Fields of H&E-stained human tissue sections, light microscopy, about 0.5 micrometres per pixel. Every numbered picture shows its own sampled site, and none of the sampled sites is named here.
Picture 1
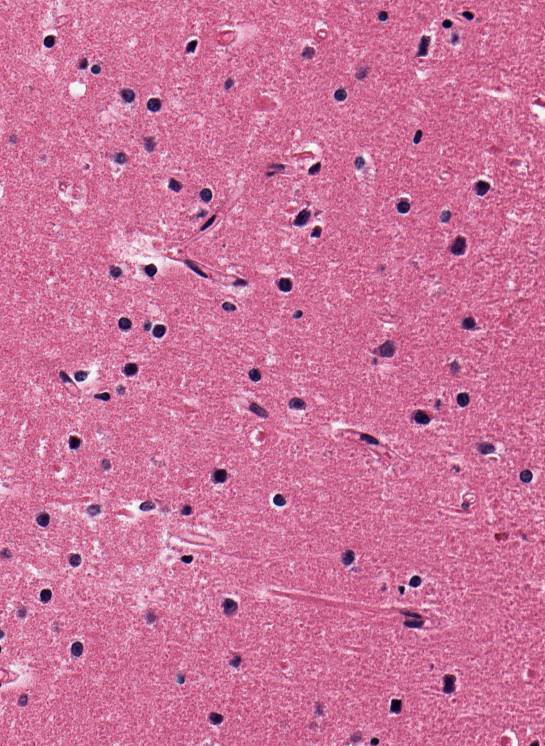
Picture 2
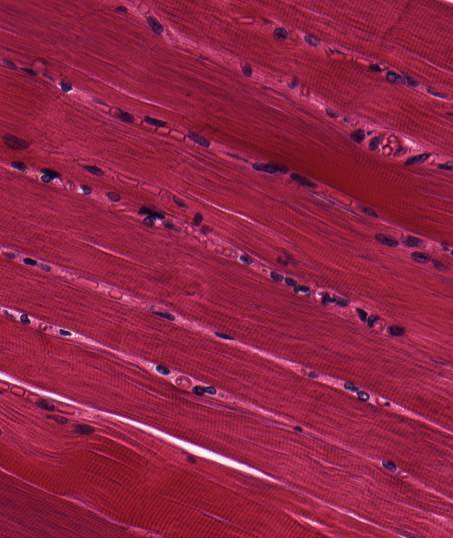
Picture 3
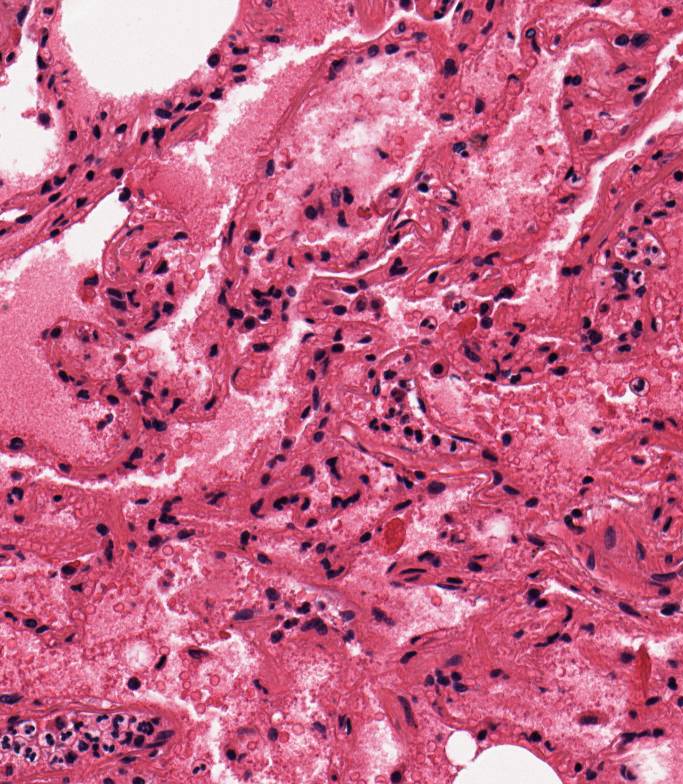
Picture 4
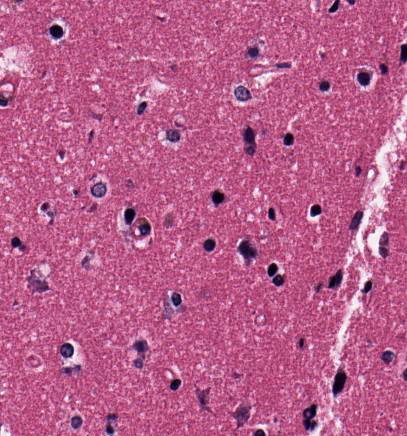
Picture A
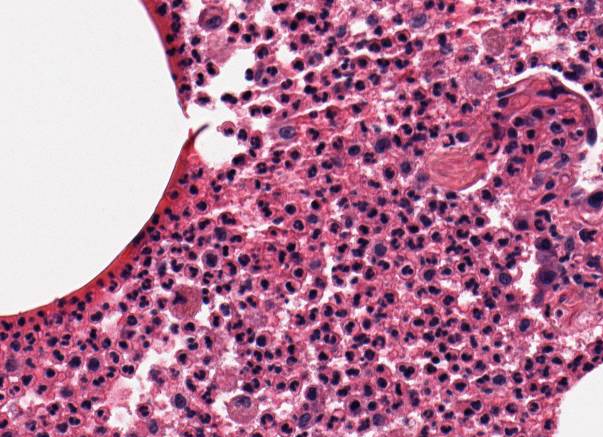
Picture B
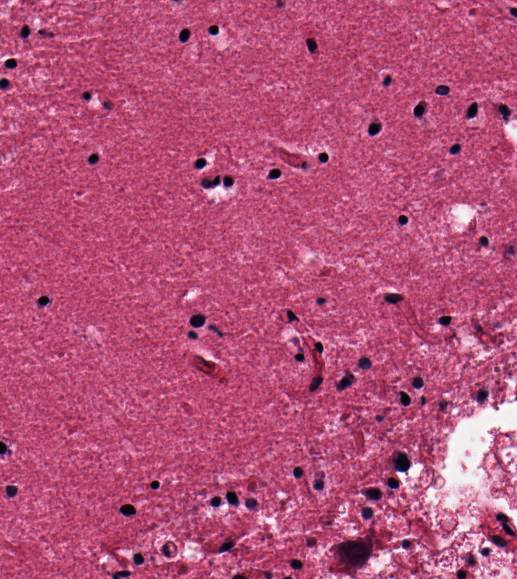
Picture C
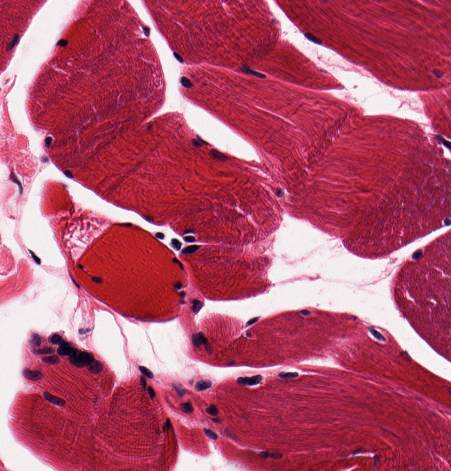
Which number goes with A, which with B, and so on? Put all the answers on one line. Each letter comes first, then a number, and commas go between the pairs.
A 3, B 1, C 2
